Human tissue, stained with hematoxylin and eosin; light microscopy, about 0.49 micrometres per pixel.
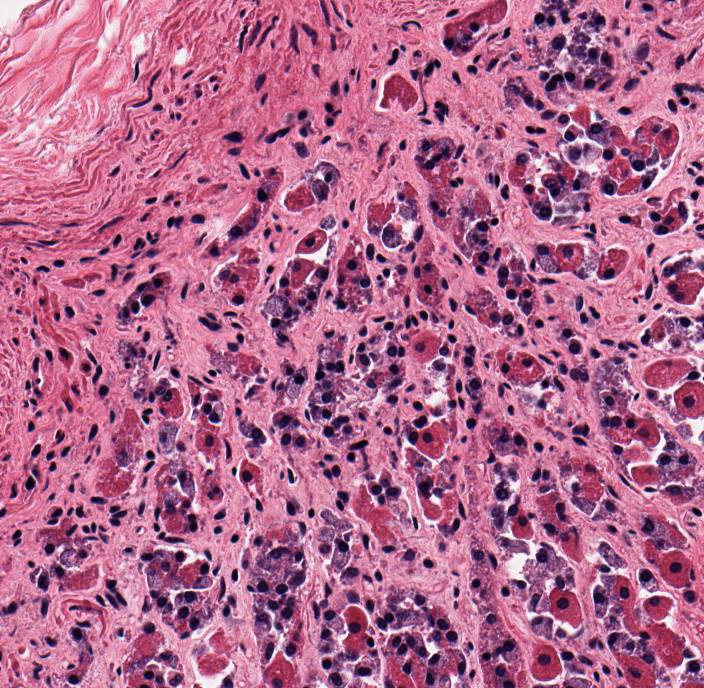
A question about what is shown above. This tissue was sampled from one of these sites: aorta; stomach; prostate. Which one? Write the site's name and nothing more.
stomach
